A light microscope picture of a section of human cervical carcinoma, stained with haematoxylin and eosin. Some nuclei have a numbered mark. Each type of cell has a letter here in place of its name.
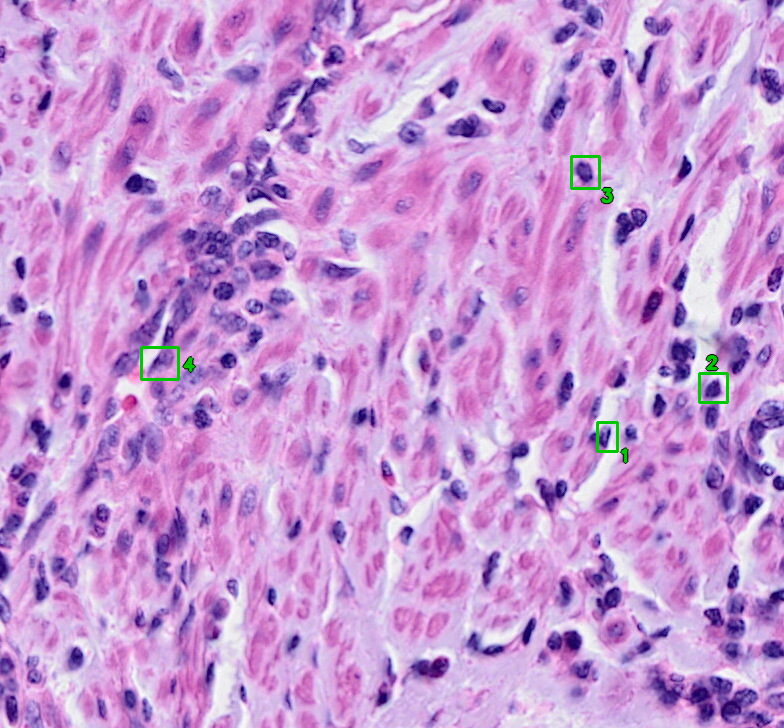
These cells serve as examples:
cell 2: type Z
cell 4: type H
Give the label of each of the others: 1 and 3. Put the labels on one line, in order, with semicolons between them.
type Z; type Z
